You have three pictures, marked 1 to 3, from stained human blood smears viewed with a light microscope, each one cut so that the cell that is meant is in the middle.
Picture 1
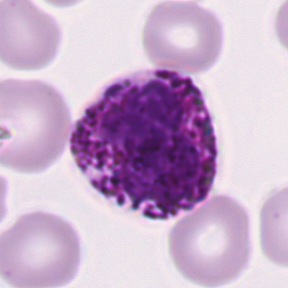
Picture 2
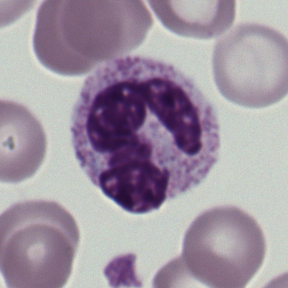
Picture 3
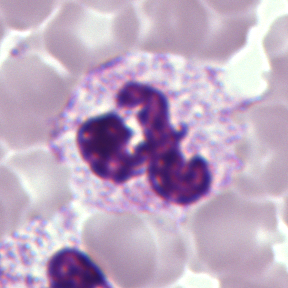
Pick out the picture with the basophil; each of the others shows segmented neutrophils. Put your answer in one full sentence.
Picture 1 is the one that shows the basophil.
